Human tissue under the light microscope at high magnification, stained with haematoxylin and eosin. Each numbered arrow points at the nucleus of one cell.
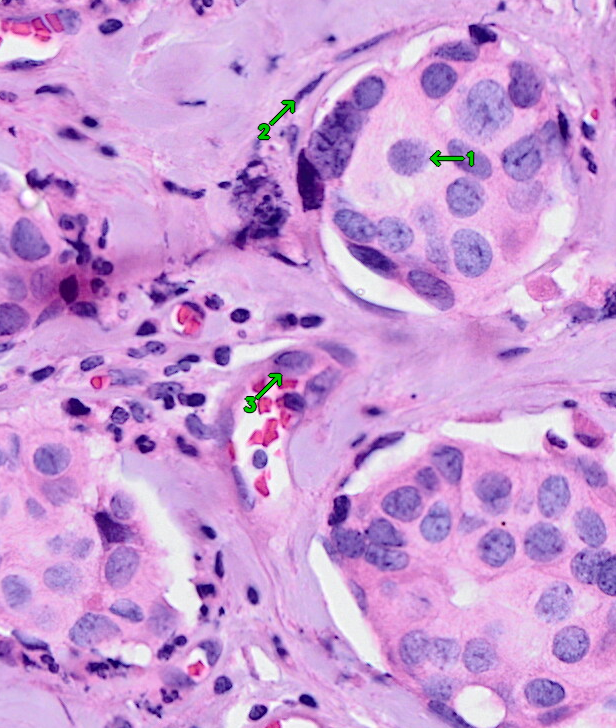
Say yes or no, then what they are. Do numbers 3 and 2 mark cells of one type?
No, cell 3 is an endothelial cell and cell 2 is a fibroblast.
